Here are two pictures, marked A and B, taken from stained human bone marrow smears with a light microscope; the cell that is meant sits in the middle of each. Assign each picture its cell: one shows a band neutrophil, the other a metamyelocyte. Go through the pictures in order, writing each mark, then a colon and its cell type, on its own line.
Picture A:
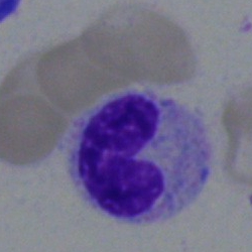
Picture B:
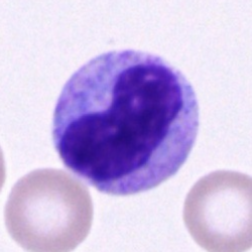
A: band neutrophil
B: metamyelocyte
